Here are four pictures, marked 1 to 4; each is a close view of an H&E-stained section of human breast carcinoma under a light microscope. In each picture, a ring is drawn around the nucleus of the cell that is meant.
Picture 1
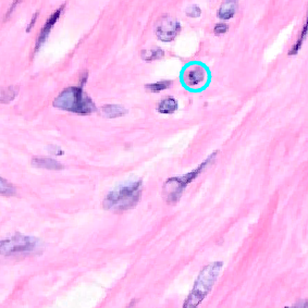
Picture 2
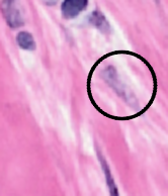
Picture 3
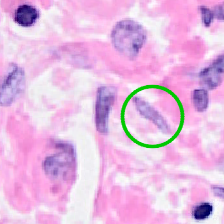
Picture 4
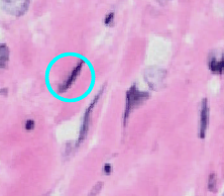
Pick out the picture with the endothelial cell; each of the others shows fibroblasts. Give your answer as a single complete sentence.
The endothelial cell is the one in picture 1.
